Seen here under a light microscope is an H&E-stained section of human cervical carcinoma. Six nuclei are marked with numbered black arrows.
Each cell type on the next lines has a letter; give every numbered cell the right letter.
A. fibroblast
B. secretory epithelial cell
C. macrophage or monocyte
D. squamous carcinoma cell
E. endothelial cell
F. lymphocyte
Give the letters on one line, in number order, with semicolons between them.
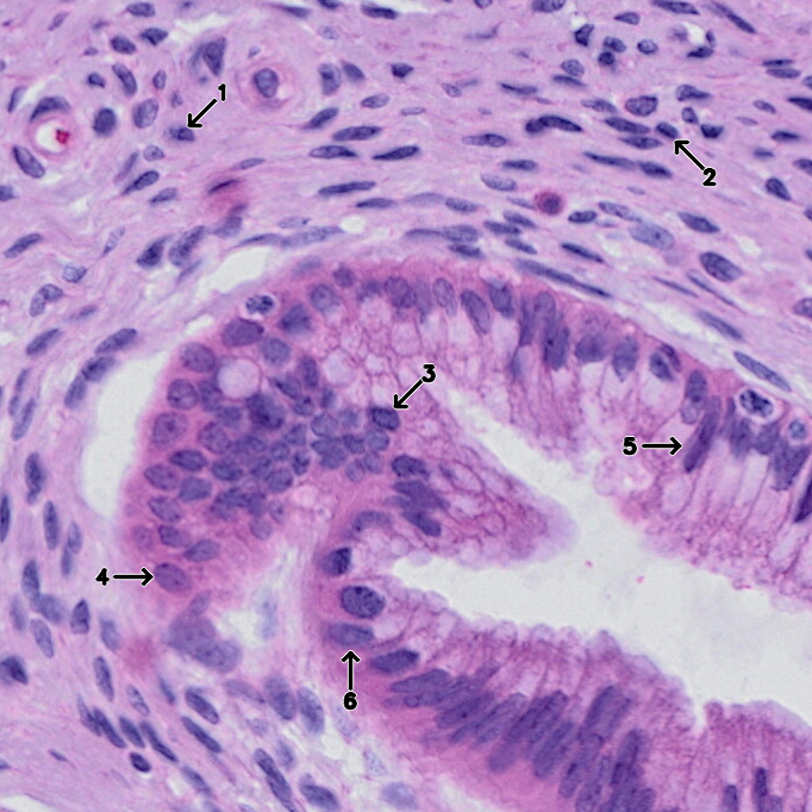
A; A; B; B; B; B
